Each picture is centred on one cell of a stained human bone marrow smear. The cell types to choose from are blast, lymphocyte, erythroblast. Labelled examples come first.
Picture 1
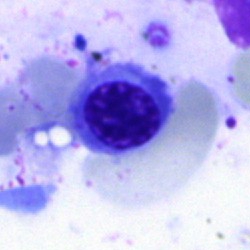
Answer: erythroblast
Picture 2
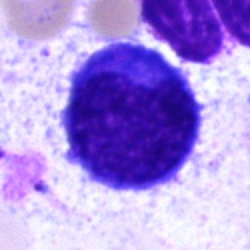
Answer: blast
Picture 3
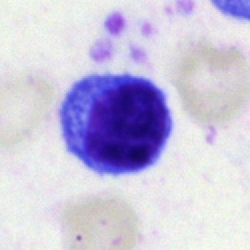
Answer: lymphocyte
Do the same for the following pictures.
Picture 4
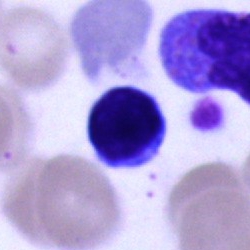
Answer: lymphocyte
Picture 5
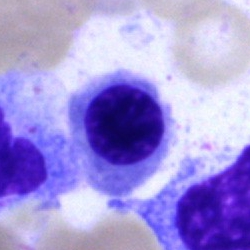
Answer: erythroblast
